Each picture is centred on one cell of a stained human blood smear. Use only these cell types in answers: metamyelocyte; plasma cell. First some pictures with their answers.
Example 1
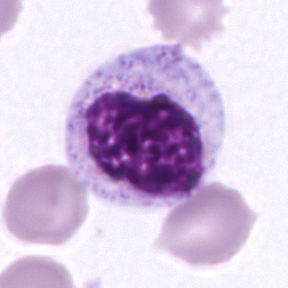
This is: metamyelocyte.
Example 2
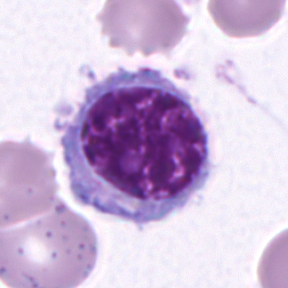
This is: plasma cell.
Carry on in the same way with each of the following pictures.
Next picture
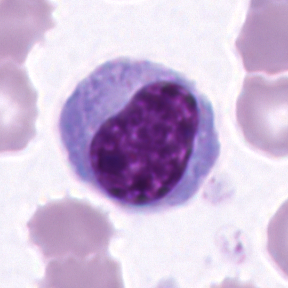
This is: plasma cell.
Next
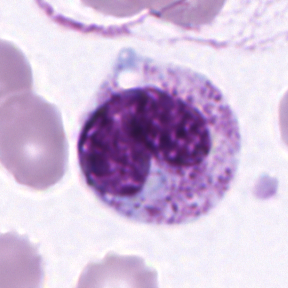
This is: metamyelocyte.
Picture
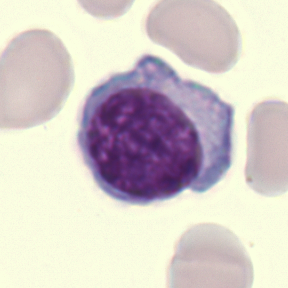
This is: plasma cell.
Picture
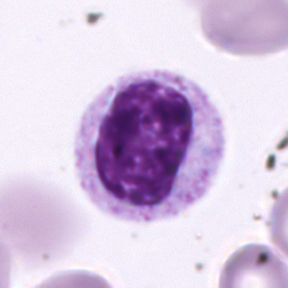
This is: metamyelocyte.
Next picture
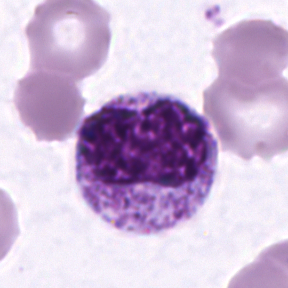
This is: metamyelocyte.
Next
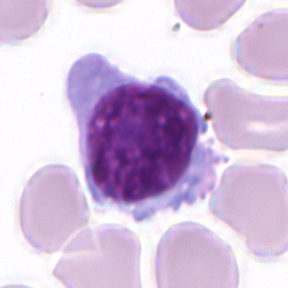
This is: plasma cell.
